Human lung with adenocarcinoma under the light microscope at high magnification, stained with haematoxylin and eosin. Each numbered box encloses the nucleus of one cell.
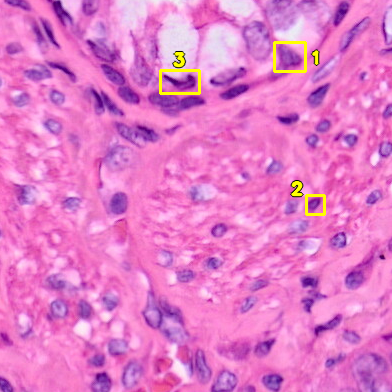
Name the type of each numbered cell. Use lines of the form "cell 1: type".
cell 1: ciliated epithelial cell
cell 2: smooth muscle cell or pericyte
cell 3: ciliated epithelial cell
